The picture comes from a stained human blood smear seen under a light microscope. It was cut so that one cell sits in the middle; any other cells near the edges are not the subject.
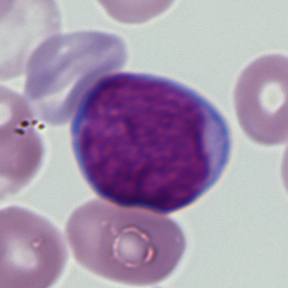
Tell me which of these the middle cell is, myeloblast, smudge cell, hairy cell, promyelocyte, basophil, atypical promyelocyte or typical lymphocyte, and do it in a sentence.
The cell nearest the centre of this crop is a myeloblast.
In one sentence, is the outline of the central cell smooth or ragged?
In short, the margin is smooth with no projections at all.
